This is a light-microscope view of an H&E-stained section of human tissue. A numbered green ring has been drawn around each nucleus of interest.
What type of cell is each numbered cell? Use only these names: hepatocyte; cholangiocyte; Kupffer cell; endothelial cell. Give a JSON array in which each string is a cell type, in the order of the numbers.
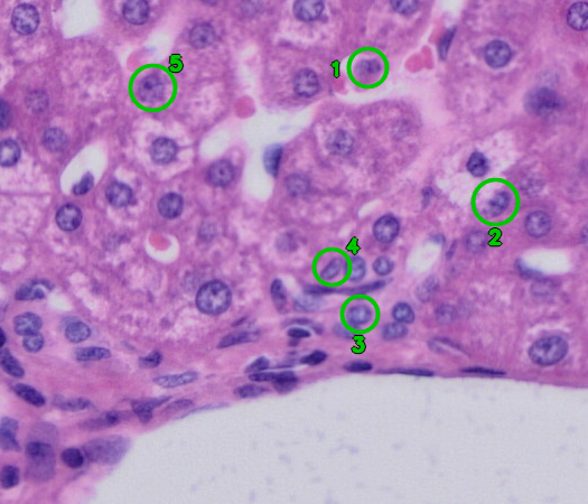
["Kupffer cell", "cholangiocyte", "cholangiocyte", "cholangiocyte", "hepatocyte"]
